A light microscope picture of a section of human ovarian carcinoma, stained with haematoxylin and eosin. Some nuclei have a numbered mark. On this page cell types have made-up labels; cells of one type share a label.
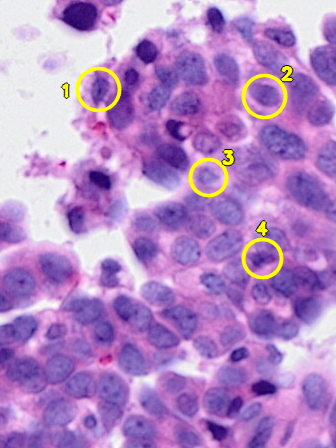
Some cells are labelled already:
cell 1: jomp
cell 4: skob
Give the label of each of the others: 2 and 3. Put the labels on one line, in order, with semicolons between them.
skob; jomp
